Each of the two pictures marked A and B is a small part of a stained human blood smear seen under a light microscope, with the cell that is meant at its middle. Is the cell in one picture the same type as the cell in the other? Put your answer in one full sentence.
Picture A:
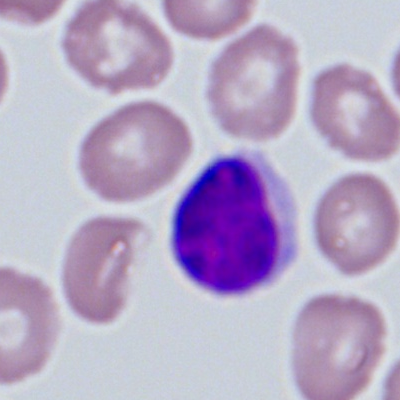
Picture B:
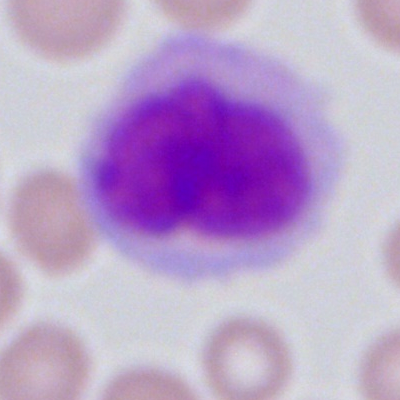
No, picture A shows a lymphocyte and picture B shows a monocyte.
